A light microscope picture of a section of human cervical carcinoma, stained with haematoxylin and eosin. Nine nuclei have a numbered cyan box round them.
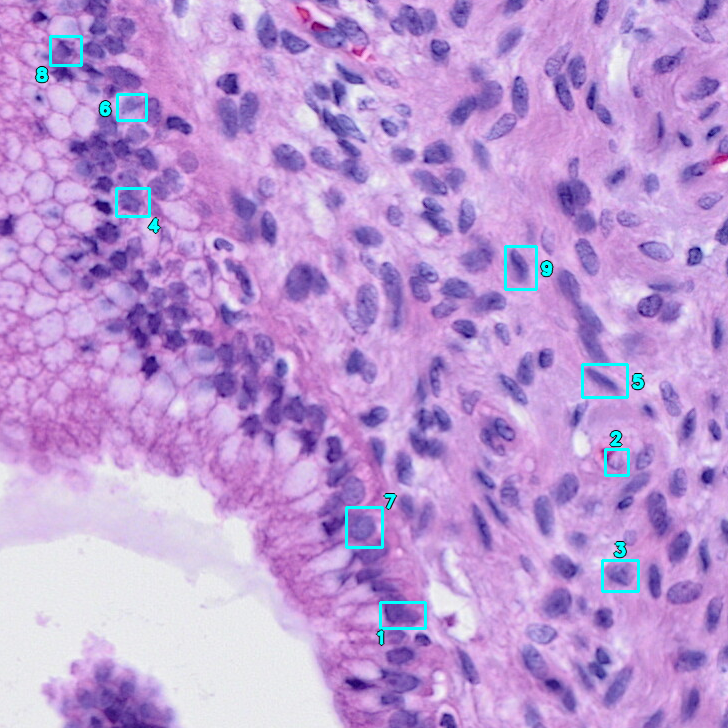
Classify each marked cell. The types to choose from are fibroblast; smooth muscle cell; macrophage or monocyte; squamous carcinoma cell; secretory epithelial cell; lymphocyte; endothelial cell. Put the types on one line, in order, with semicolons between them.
secretory epithelial cell; endothelial cell; fibroblast; secretory epithelial cell; fibroblast; secretory epithelial cell; secretory epithelial cell; secretory epithelial cell; fibroblast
